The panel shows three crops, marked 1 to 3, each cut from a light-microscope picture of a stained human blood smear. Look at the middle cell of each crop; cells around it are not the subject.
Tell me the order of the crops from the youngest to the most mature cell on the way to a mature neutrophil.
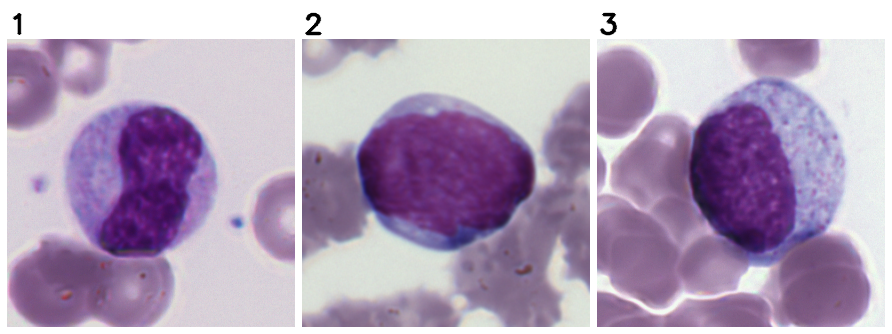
2, 3, 1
